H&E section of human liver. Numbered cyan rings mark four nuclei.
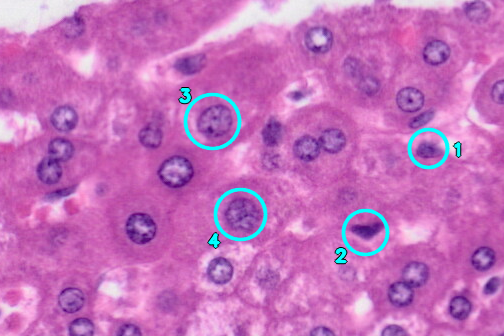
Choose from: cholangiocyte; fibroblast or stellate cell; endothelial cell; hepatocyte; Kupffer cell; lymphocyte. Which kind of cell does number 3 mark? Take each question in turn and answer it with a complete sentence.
The cell carrying label 3 is identified as a hepatocyte.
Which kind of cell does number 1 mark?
The marked nucleus 1 is that of a fibroblast or stellate cell.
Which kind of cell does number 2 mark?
To a fibroblast or stellate cell belongs the nucleus marked 2.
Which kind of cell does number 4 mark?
Of the numbered cells, the one labelled 4 is a hepatocyte.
